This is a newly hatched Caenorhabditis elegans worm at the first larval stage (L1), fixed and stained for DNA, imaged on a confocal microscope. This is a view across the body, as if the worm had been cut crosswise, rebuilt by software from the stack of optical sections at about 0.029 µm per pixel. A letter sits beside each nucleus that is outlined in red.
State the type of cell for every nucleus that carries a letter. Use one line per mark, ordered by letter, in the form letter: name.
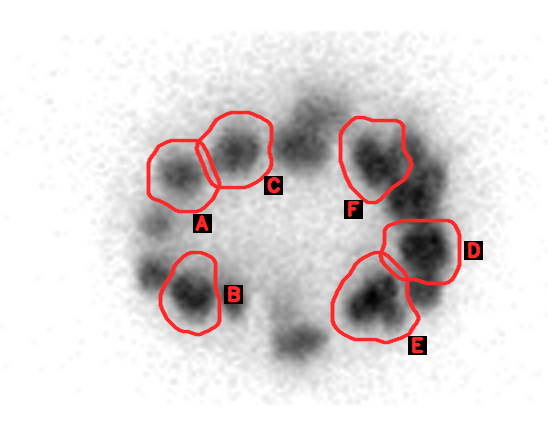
A: body wall muscle cell
B: body wall muscle cell
C: glial cell (sheath or socket)
D: neuron
E: glial cell (sheath or socket)
F: glial cell (sheath or socket)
